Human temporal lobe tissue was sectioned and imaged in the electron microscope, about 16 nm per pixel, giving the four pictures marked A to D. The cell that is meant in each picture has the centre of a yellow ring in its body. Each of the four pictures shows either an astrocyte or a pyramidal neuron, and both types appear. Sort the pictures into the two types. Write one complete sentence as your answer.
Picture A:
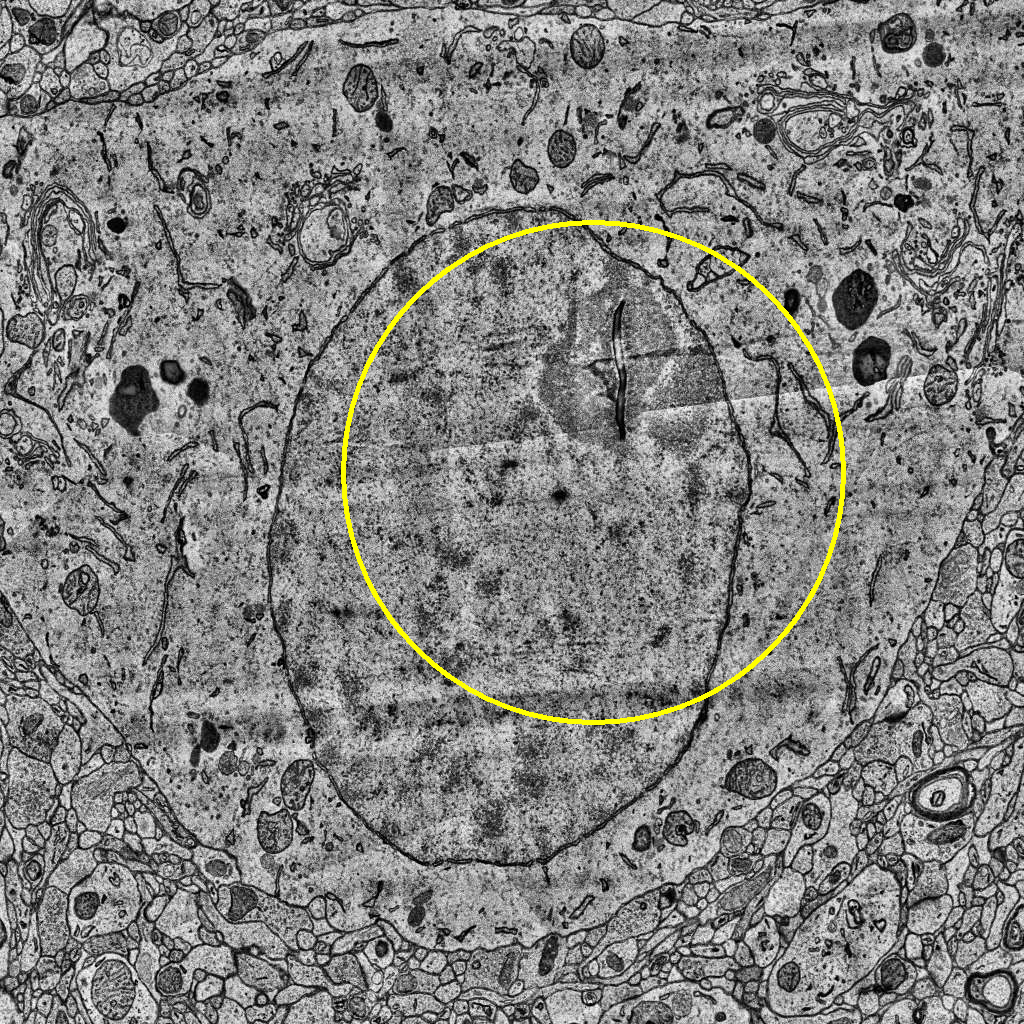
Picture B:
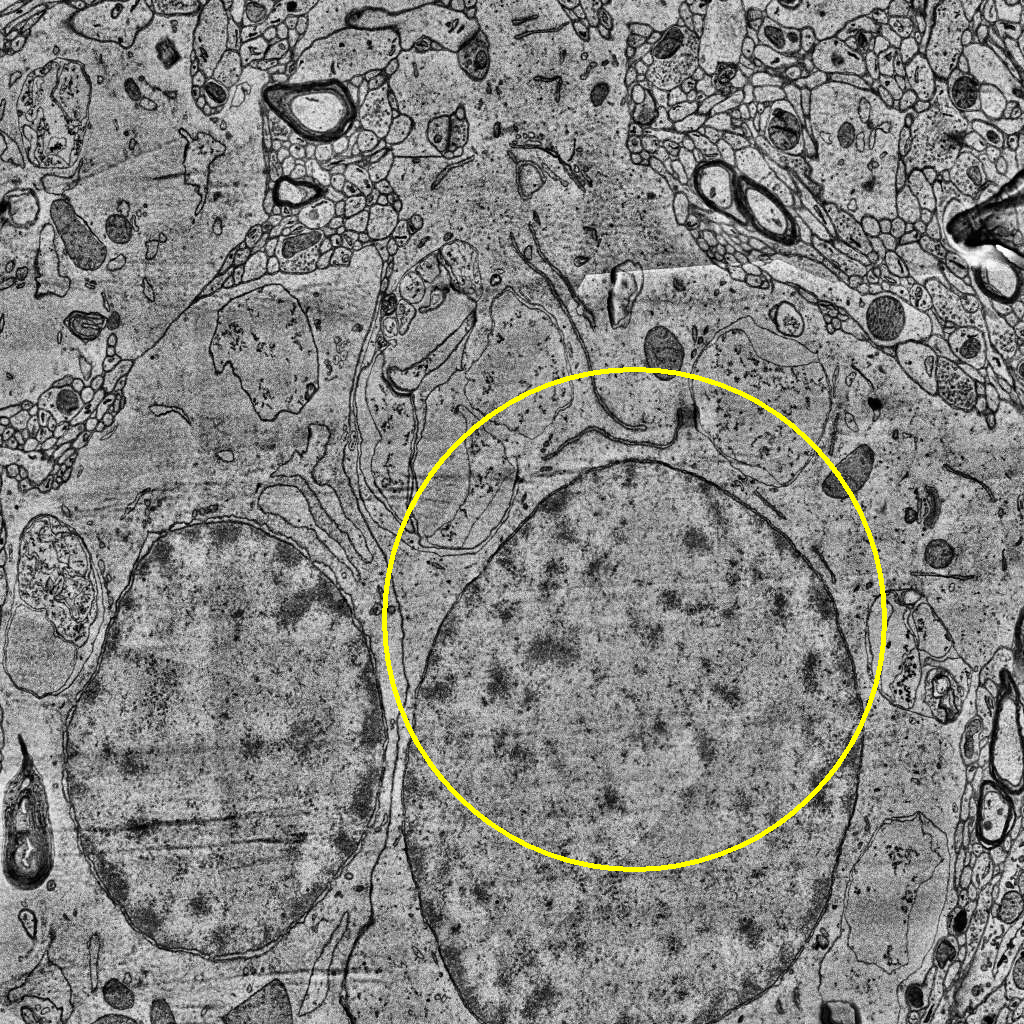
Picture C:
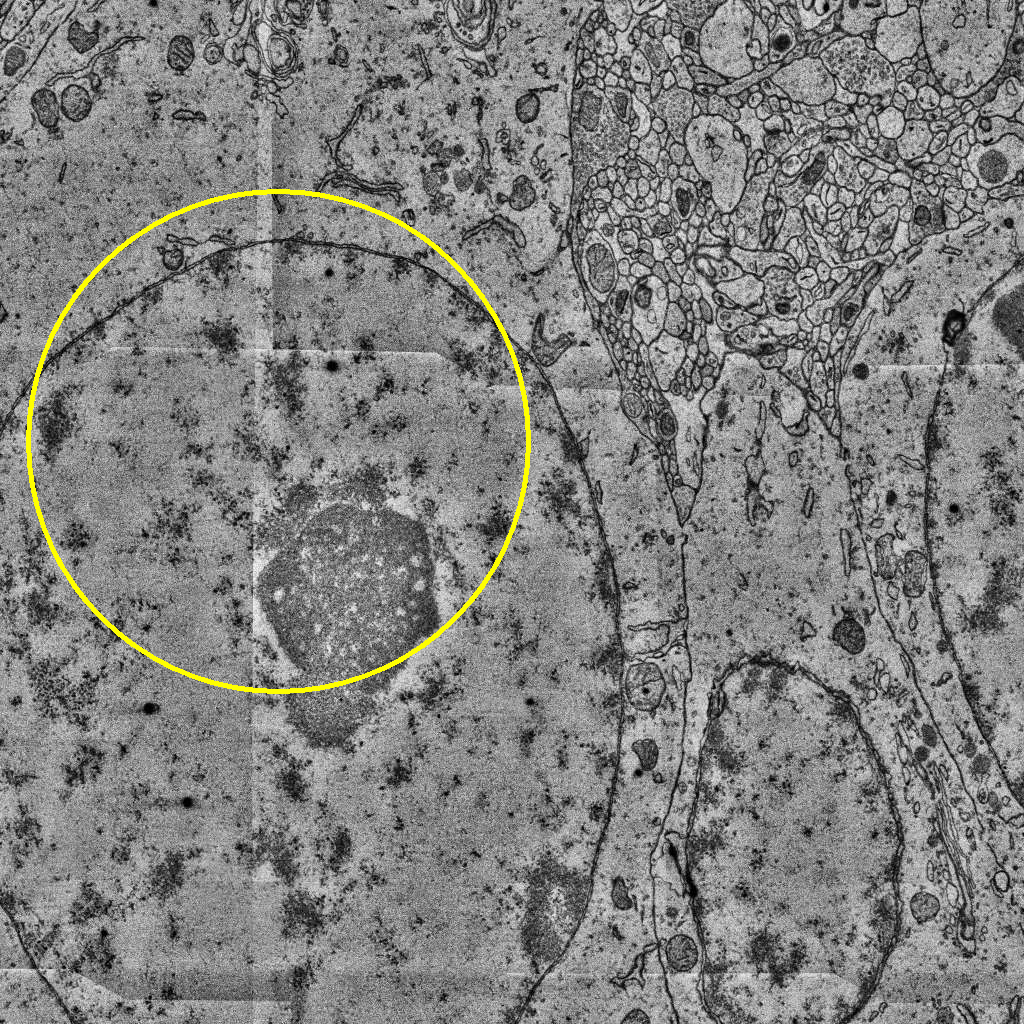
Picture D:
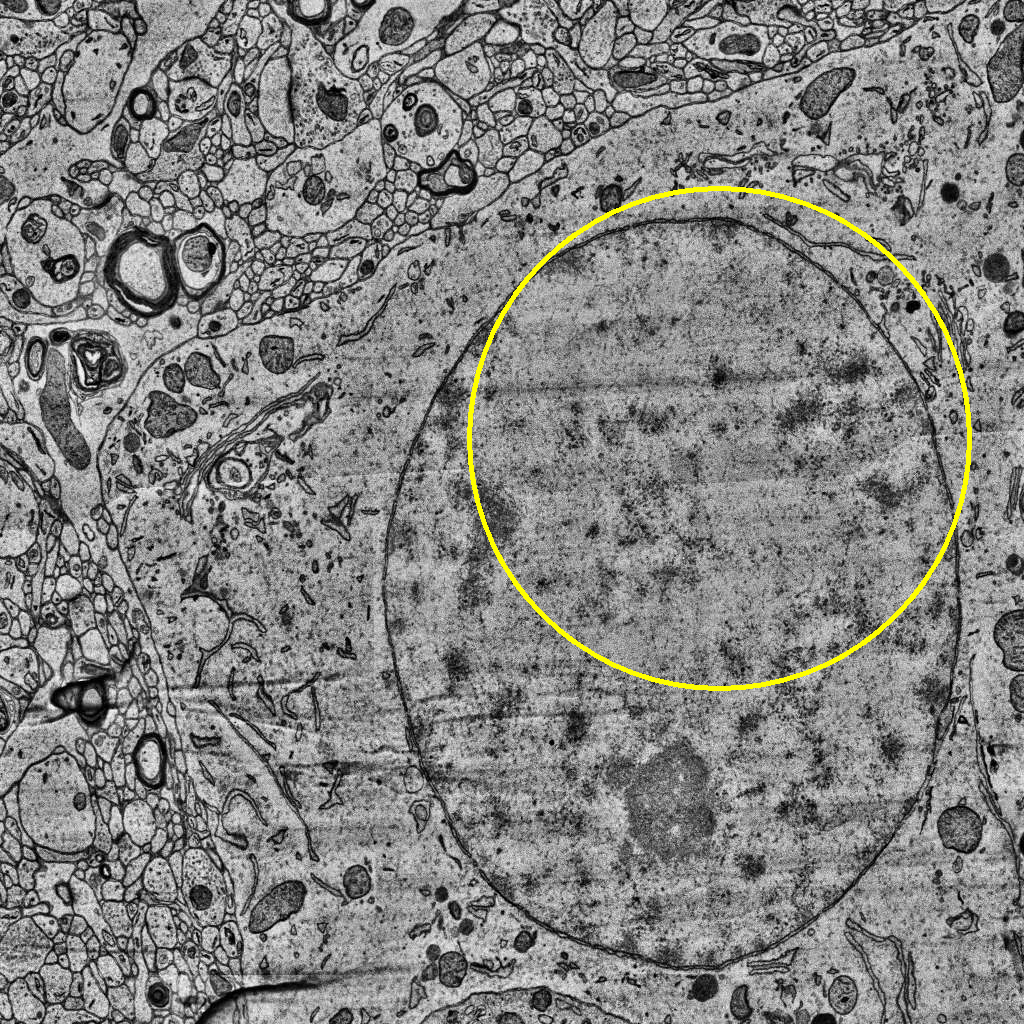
Picture B shows an astrocyte, and pictures A, C and D show pyramidal neurons.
